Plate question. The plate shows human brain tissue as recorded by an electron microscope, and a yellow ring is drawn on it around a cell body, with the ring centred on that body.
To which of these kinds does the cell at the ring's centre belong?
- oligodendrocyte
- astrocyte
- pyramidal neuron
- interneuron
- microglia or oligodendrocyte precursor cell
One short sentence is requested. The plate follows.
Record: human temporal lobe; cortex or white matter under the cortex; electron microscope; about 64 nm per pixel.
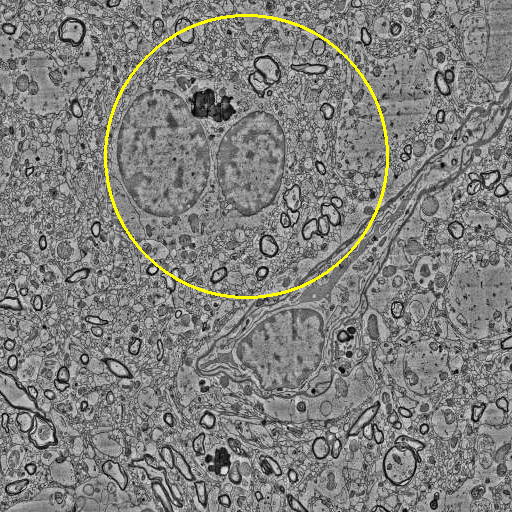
The cell at the ring's centre is an oligodendrocyte.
